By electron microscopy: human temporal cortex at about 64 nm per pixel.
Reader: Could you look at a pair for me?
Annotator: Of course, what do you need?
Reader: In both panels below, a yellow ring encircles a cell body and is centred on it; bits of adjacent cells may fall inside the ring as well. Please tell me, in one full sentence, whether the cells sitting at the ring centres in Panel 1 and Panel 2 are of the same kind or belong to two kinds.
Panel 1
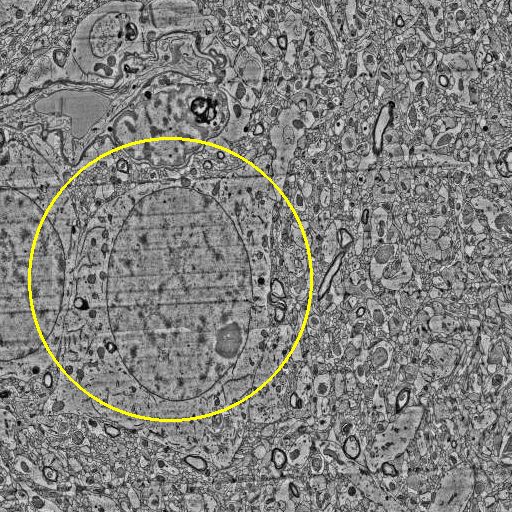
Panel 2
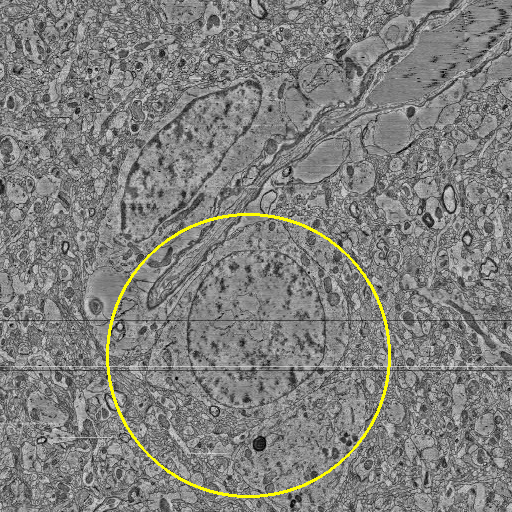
The cell at the ring's centre in Panel 1 and the one in Panel 2 are of the same kind.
